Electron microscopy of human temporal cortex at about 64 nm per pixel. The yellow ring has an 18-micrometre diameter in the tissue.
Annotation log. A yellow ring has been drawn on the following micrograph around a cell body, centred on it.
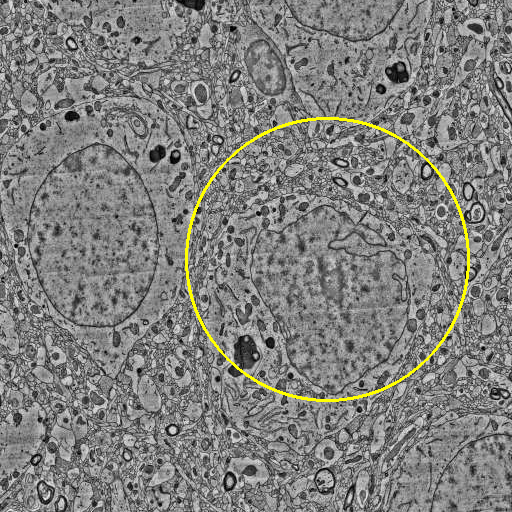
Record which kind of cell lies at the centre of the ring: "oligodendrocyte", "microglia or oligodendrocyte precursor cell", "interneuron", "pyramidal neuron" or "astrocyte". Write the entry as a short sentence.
The cell the ring is centred on is an interneuron.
